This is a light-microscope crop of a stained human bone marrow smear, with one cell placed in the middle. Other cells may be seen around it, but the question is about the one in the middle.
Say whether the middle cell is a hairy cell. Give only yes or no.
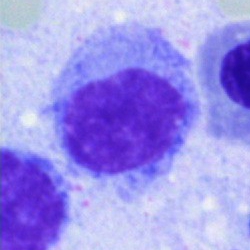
yes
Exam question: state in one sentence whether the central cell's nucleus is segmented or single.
Its nucleus is compact and single, with a round, oval or kidney-shaped form.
